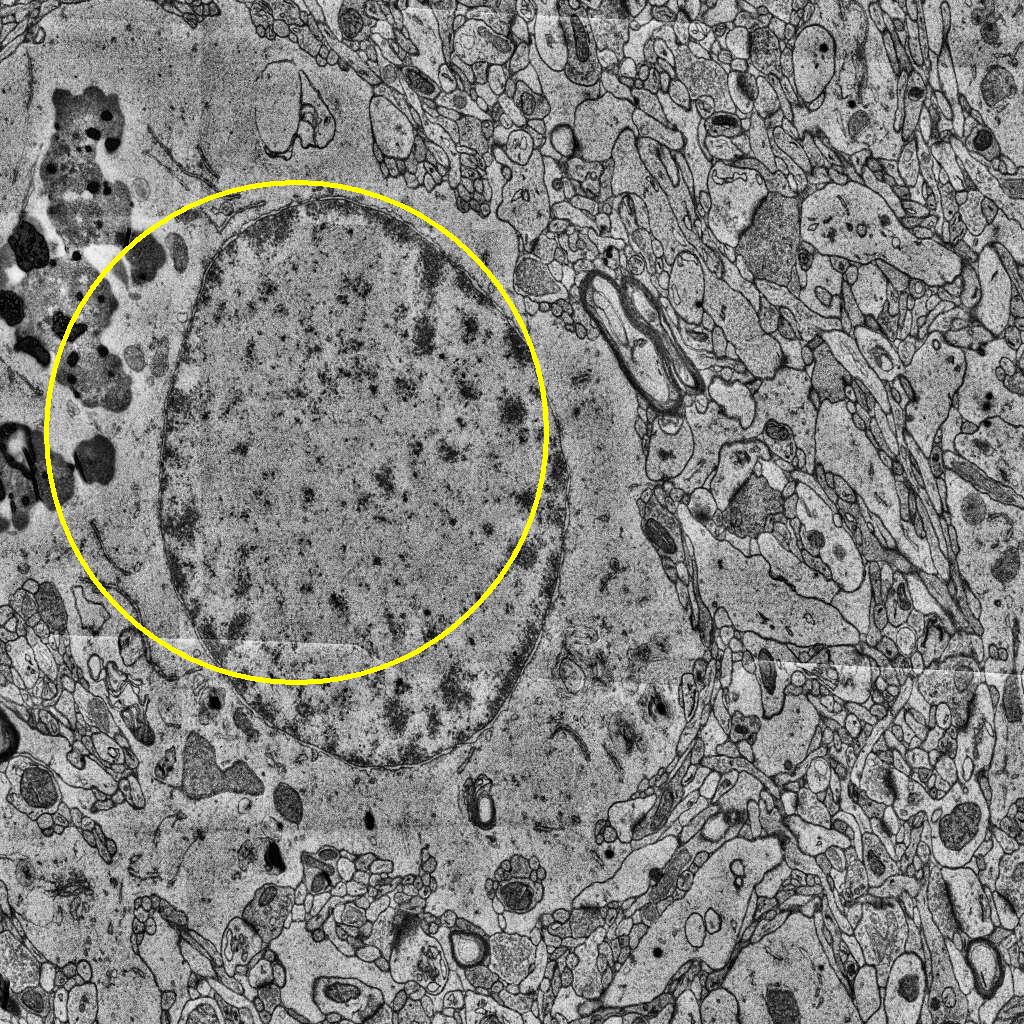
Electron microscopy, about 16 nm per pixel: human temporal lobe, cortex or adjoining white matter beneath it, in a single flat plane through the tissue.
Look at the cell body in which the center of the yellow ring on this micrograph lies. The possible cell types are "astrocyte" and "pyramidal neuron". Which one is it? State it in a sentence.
The cell at the middle of the ring is an astrocyte.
